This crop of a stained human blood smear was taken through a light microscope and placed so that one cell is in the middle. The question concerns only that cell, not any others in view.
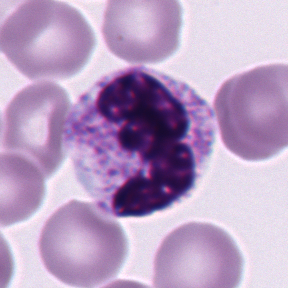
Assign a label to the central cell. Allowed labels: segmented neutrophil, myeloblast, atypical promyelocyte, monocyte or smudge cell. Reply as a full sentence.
This crop has a segmented neutrophil at its centre.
